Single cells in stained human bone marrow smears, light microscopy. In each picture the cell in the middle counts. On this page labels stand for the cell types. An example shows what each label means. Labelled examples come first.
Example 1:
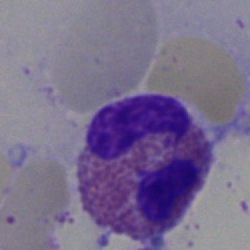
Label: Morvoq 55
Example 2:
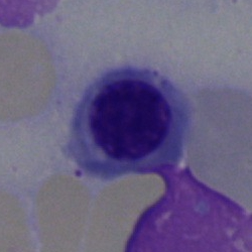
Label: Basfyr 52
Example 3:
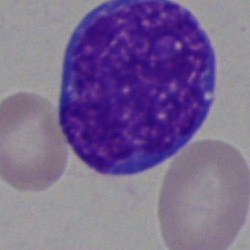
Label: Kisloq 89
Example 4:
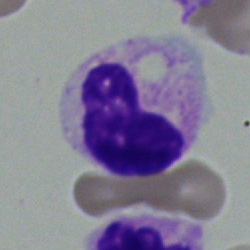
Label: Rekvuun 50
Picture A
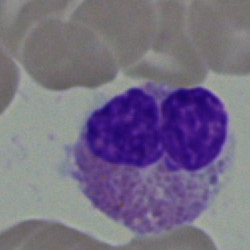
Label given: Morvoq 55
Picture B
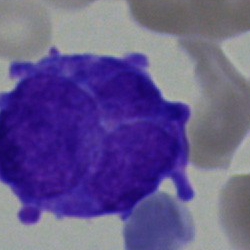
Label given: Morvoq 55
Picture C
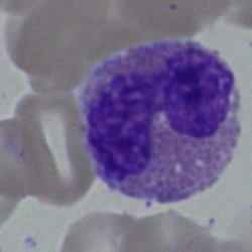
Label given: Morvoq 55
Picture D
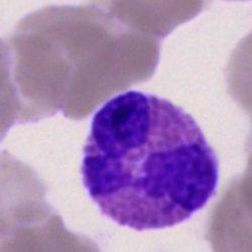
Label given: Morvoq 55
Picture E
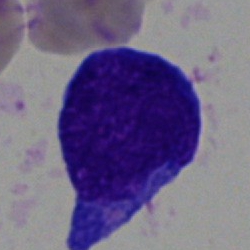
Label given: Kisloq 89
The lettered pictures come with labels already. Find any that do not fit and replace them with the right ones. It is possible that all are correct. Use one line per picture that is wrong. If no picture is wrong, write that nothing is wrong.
B is labelled Morvoq 55; correct label: Kisloq 89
